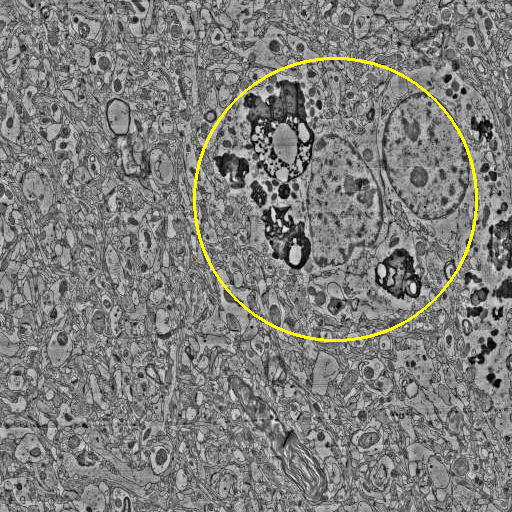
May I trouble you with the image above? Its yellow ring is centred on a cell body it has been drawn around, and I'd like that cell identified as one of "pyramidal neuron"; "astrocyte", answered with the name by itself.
astrocyte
